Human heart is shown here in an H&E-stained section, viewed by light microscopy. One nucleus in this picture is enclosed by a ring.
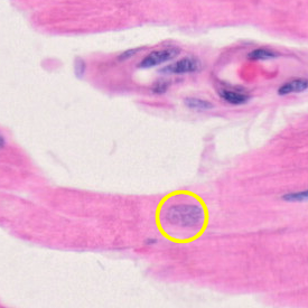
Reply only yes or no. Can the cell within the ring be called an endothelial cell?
no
